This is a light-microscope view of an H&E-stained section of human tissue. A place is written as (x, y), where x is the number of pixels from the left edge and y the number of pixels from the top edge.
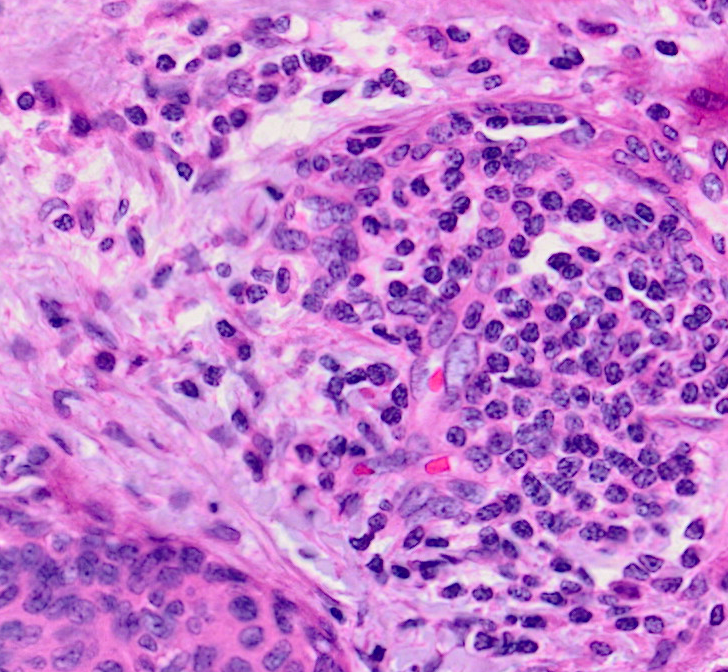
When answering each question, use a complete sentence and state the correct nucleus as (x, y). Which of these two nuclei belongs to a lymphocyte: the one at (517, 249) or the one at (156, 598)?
Assigned to a lymphocyte is the nucleus located at (517, 249).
